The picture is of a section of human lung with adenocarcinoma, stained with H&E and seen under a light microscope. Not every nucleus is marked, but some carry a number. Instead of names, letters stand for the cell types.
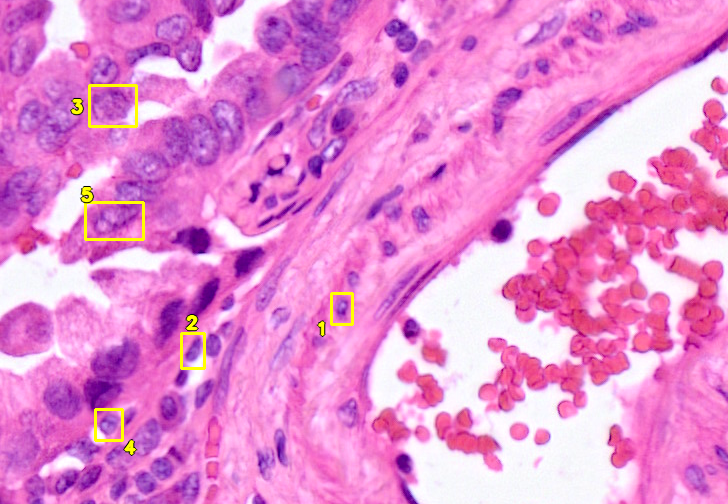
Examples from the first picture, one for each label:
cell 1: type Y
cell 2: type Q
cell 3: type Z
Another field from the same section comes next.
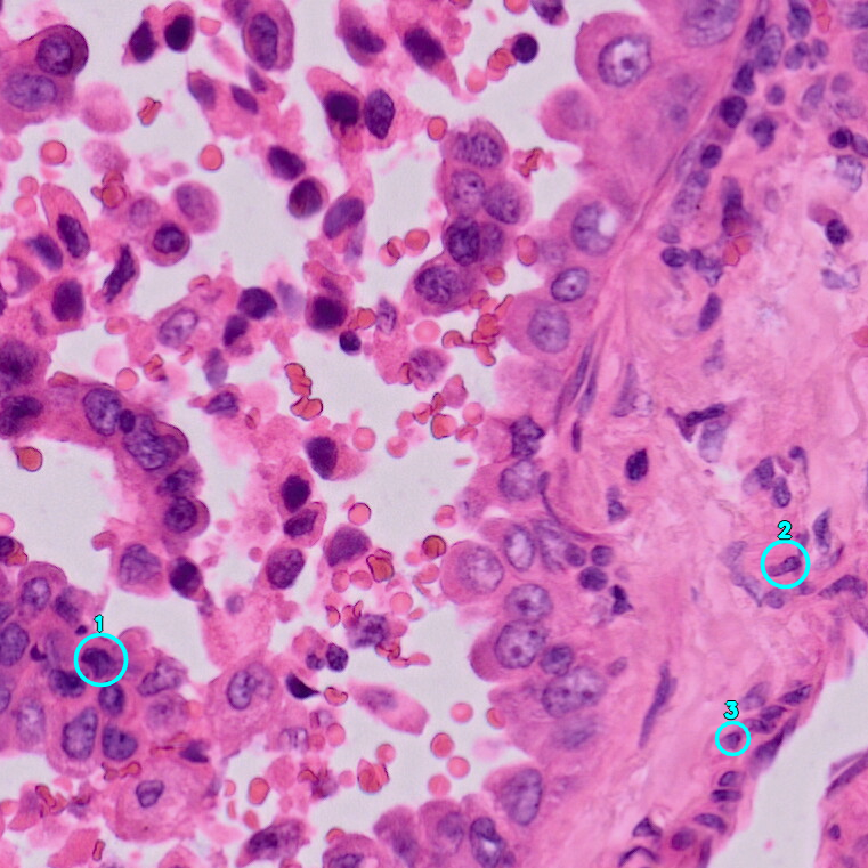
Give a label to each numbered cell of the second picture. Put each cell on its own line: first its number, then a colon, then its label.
1: type Z
2: type Y
3: type Y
